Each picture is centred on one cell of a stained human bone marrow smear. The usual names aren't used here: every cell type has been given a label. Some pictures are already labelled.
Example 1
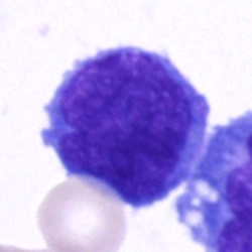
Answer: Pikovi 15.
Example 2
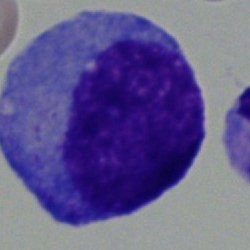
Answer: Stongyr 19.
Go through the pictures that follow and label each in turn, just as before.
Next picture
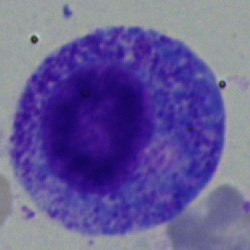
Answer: Stongyr 19.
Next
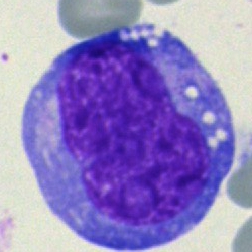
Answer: Pikovi 15.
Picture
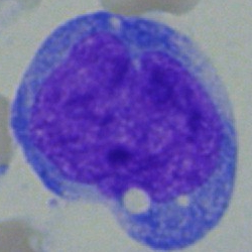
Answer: Pikovi 15.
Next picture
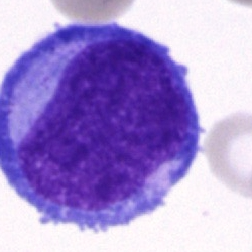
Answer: Pikovi 15.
